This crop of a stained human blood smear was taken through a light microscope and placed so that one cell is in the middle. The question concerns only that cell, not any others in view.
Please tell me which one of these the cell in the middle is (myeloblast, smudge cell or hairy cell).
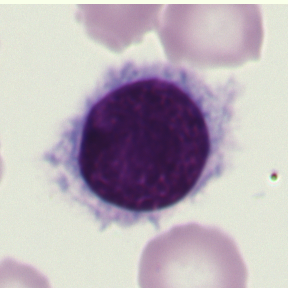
hairy cell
